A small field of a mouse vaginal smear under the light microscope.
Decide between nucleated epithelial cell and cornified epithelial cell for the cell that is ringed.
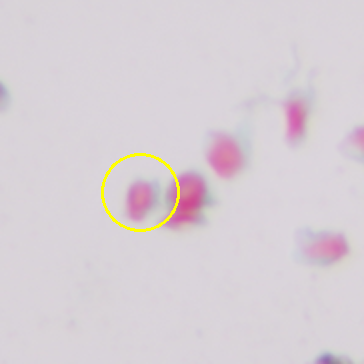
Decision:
I take the ringed cell for a nucleated epithelial cell.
